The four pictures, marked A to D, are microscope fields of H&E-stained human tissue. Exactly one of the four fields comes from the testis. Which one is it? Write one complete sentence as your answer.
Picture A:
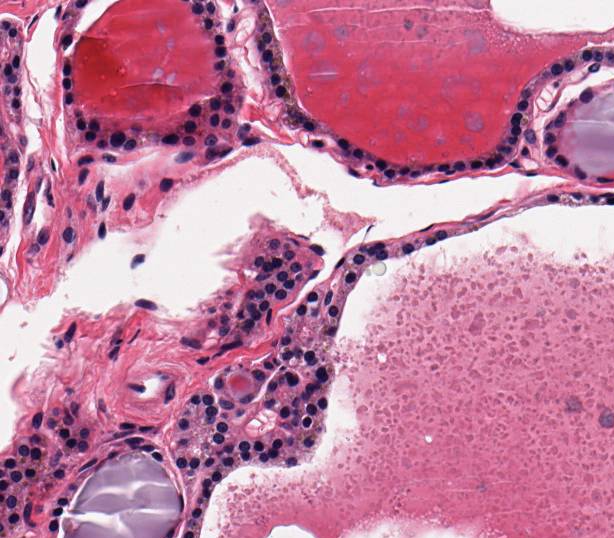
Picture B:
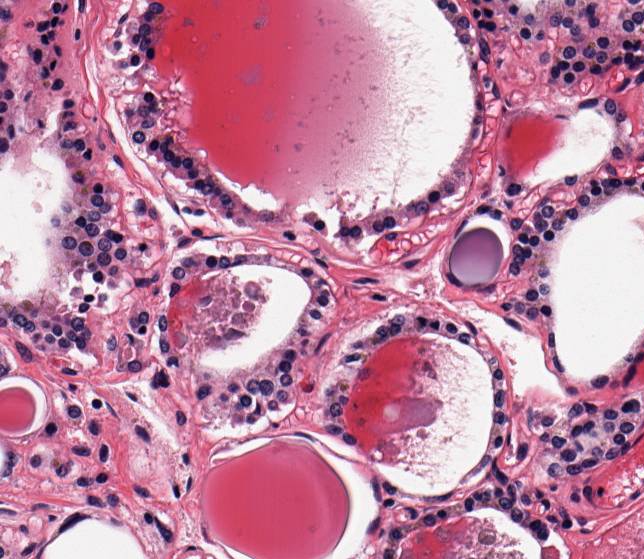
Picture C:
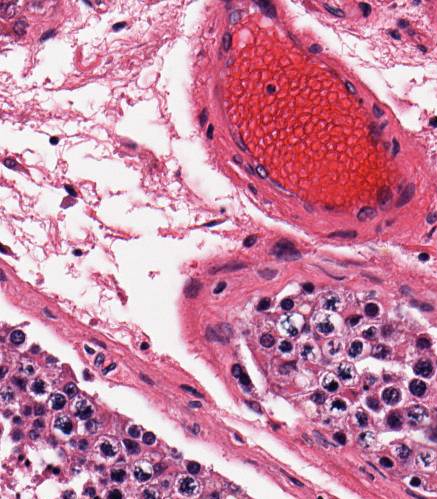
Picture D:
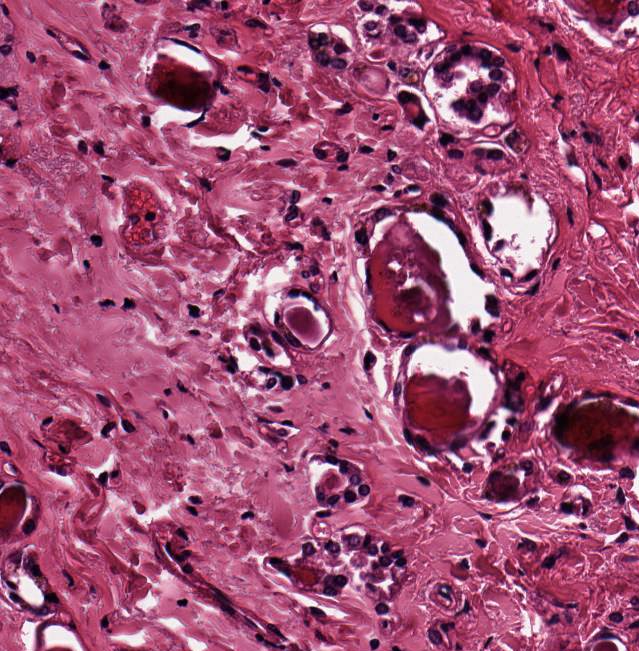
It is picture C that comes from the testis.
